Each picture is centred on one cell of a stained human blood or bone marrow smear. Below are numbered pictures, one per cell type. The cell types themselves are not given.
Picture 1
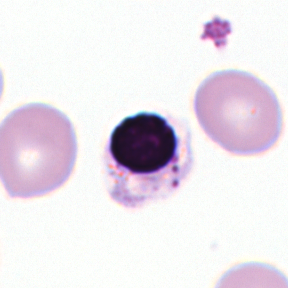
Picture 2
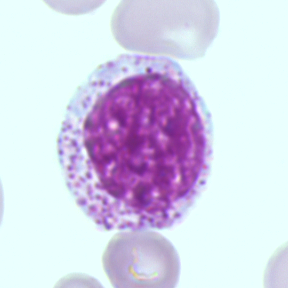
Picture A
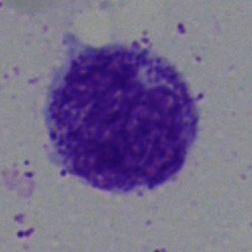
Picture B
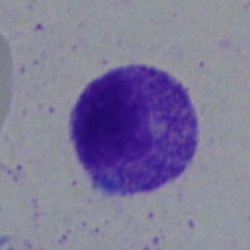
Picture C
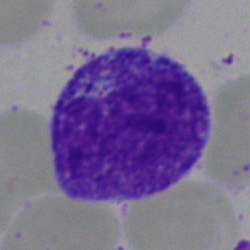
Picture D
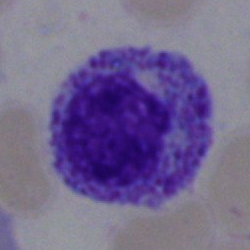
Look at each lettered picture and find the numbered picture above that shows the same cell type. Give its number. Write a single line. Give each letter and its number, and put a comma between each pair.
A 2, B 2, C 2, D 2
